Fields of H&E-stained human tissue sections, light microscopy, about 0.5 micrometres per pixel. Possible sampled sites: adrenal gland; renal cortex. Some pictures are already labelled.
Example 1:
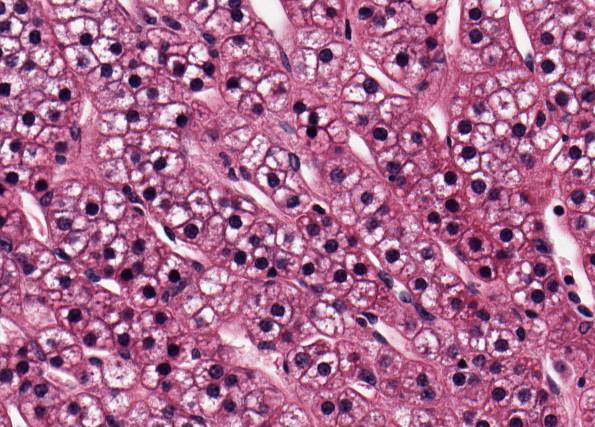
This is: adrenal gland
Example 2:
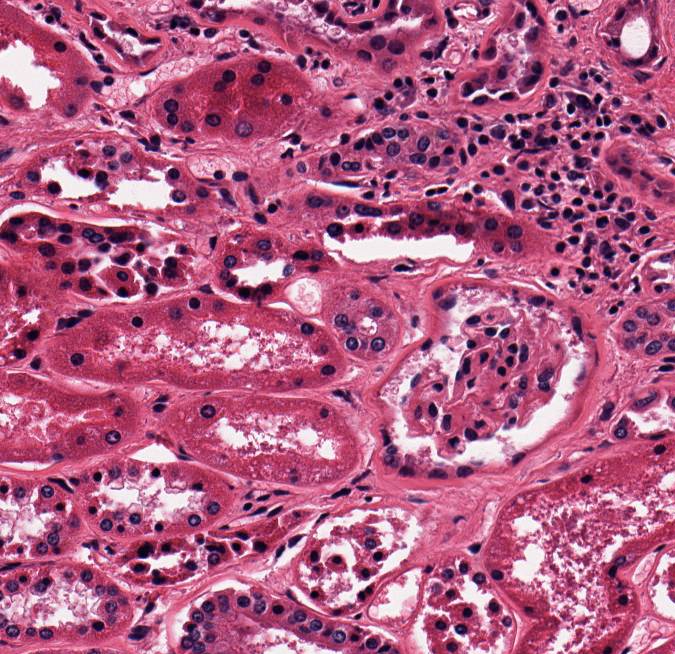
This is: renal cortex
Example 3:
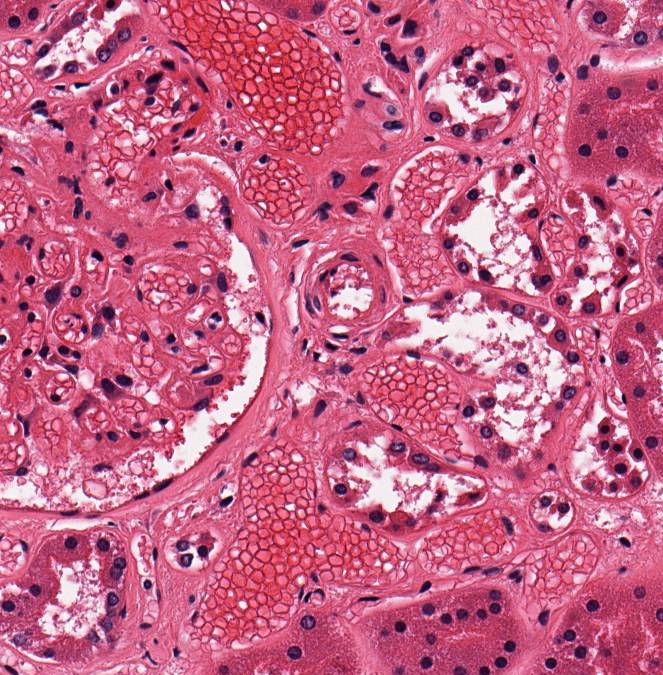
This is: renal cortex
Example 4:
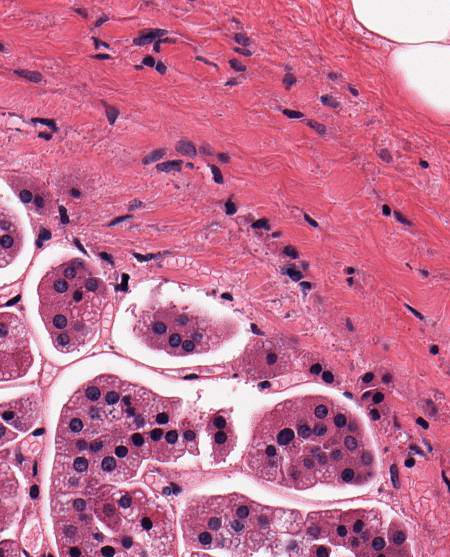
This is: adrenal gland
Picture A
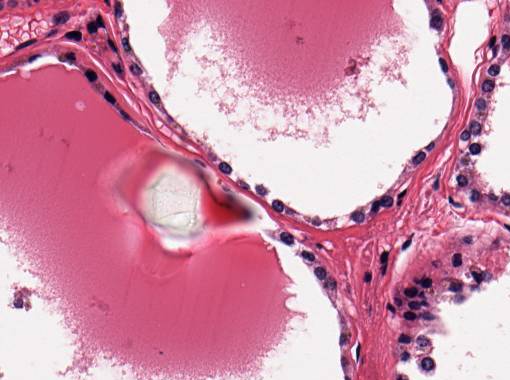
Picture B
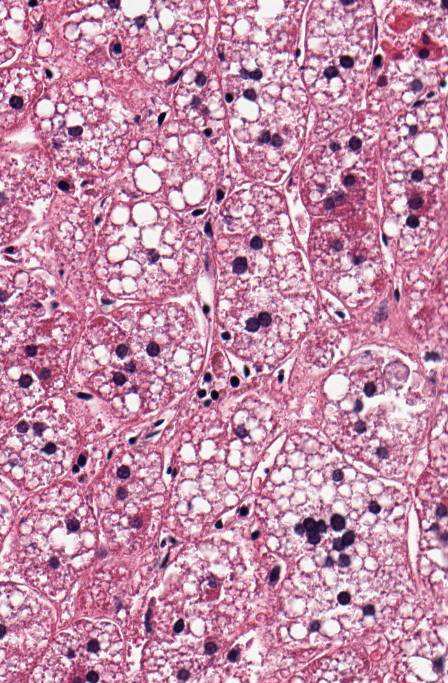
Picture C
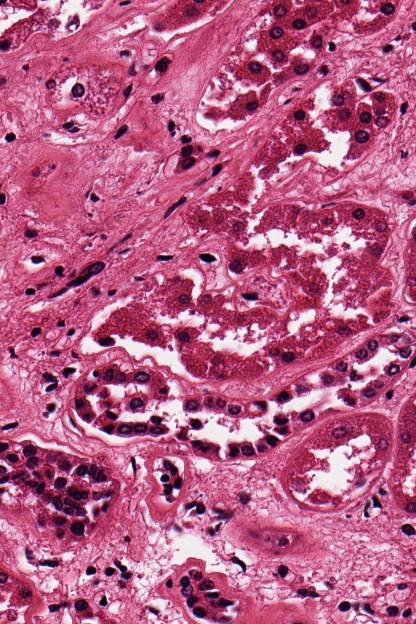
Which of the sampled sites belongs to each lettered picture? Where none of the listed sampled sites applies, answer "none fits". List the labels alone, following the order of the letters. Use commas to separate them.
none fits, adrenal gland, renal cortex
